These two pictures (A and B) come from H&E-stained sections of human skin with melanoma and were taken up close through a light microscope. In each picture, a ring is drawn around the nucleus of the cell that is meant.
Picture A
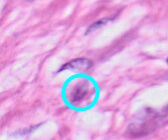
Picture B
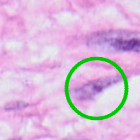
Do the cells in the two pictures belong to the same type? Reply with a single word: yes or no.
yes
